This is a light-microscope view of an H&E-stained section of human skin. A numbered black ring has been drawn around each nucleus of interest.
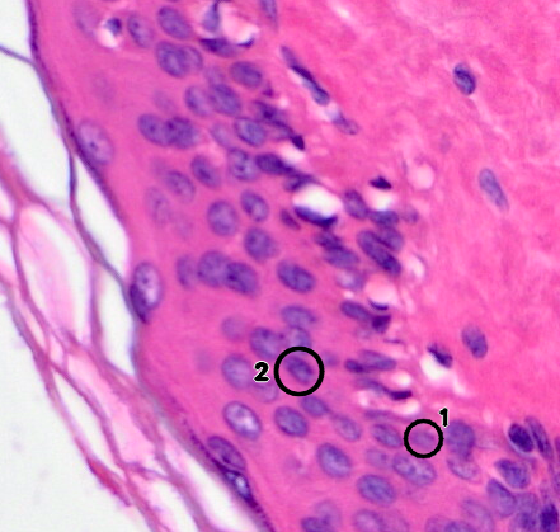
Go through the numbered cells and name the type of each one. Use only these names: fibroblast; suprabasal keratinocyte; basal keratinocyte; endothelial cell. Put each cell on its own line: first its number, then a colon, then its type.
1: basal keratinocyte
2: suprabasal keratinocyte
